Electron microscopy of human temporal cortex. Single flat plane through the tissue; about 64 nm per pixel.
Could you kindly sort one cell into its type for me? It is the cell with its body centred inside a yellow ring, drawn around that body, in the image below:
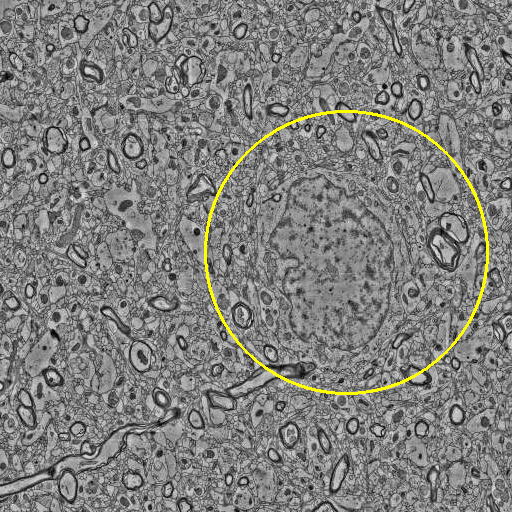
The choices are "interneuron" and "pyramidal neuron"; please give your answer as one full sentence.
The cell whose body lies centred in the yellow ring here is an interneuron.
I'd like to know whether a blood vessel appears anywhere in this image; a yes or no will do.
No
